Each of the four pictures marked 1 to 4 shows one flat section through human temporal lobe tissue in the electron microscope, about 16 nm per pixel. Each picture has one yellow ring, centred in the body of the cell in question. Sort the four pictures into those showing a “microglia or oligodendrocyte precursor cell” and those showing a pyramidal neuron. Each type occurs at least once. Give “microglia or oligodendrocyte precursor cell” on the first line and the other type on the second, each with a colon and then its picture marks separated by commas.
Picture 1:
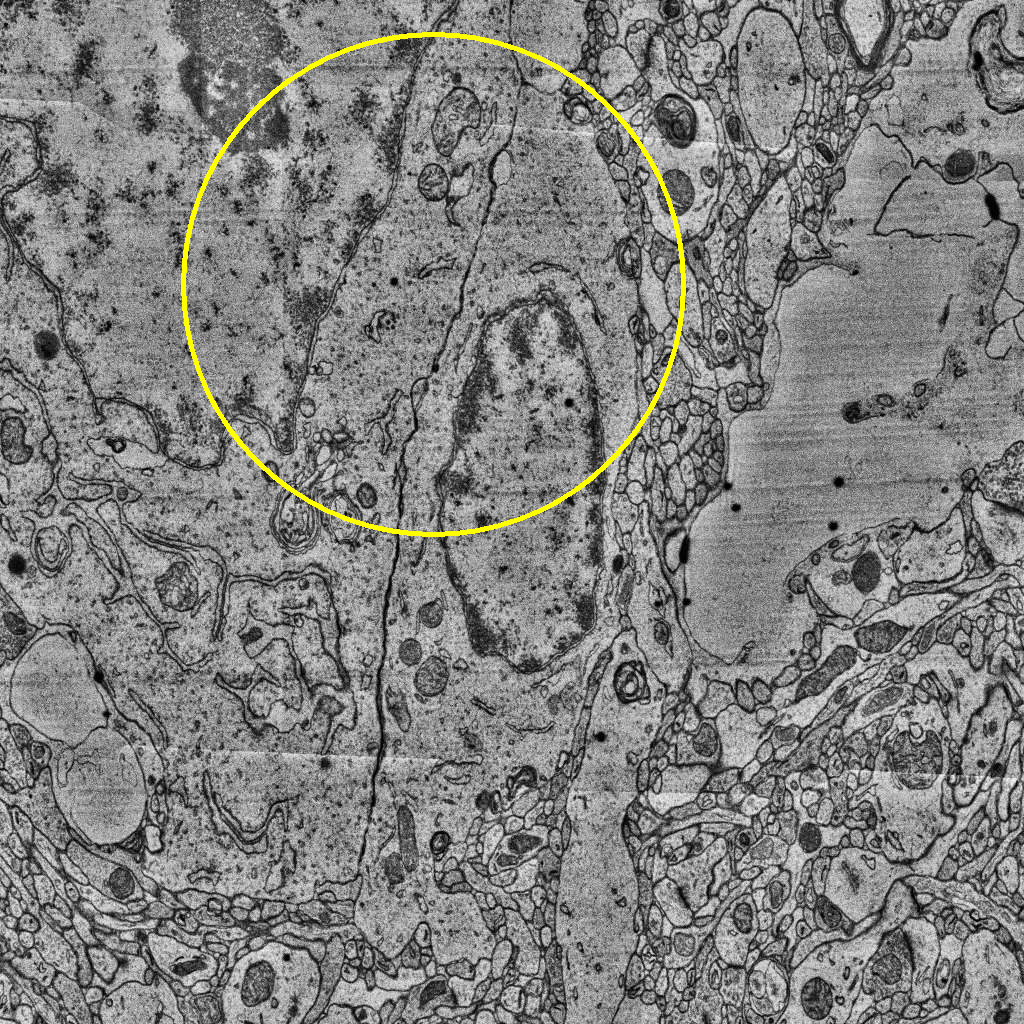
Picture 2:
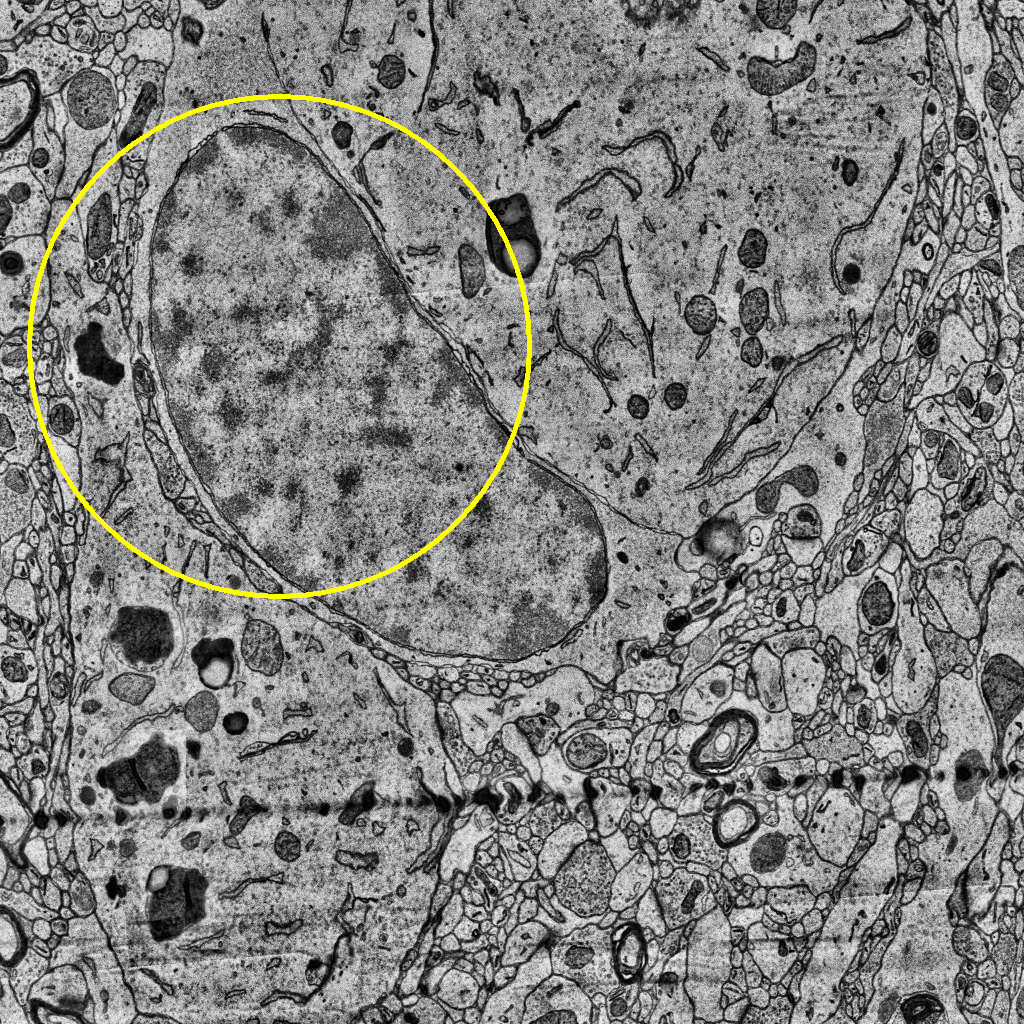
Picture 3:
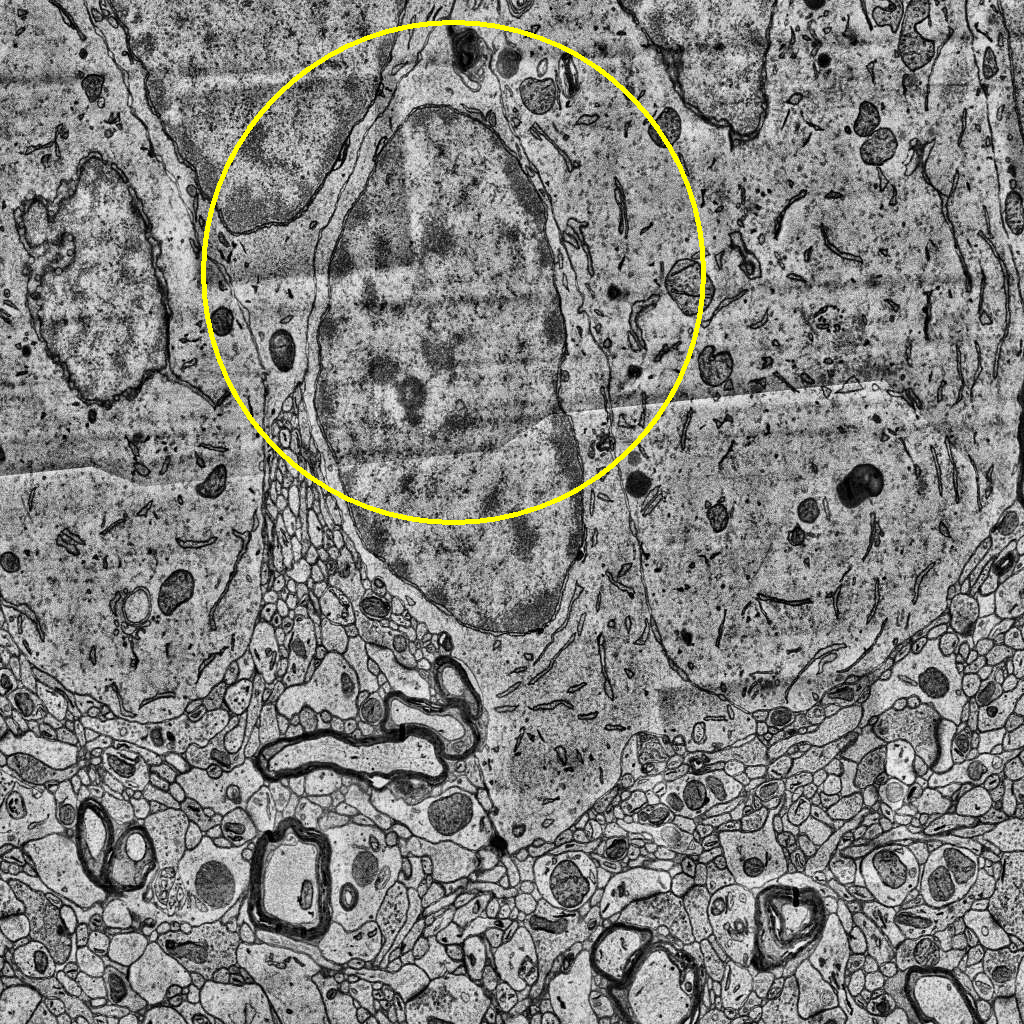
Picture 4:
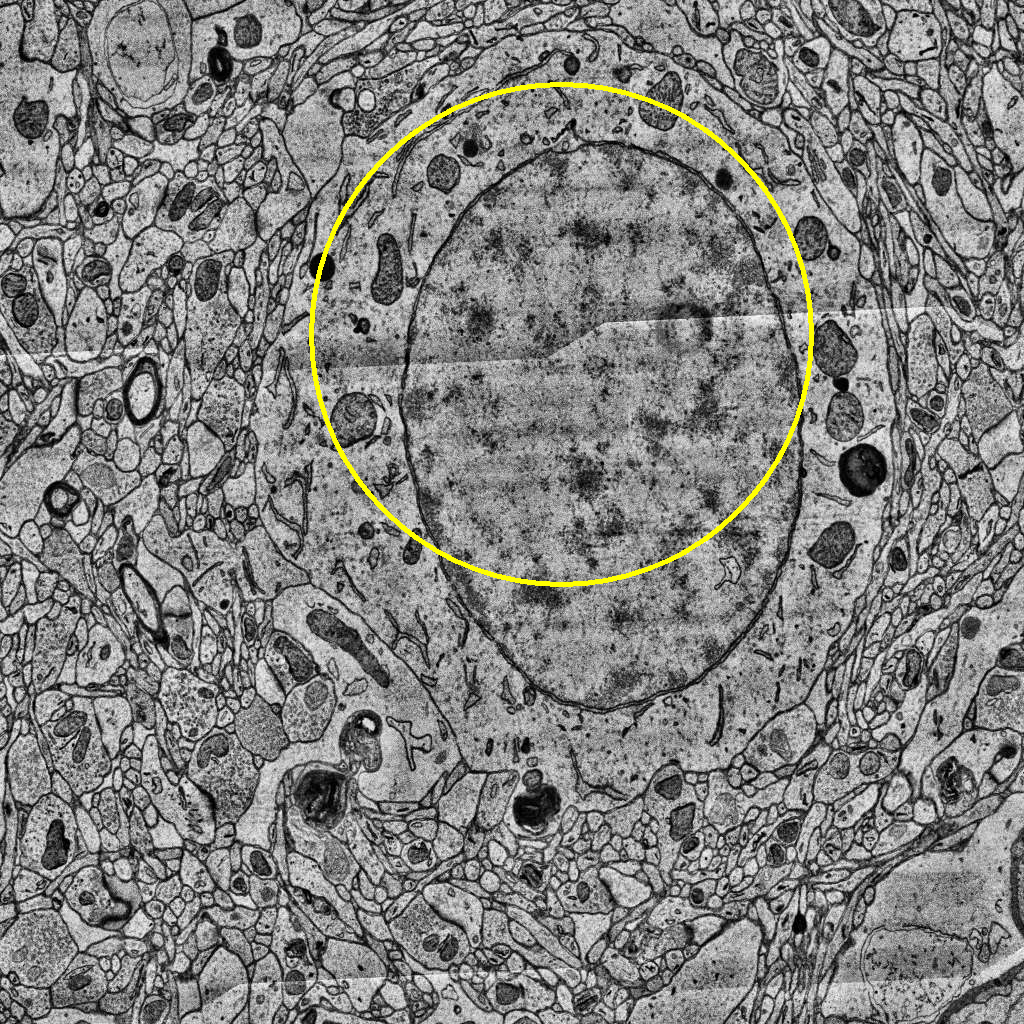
microglia or oligodendrocyte precursor cell: 1, 2, 3
pyramidal neuron: 4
